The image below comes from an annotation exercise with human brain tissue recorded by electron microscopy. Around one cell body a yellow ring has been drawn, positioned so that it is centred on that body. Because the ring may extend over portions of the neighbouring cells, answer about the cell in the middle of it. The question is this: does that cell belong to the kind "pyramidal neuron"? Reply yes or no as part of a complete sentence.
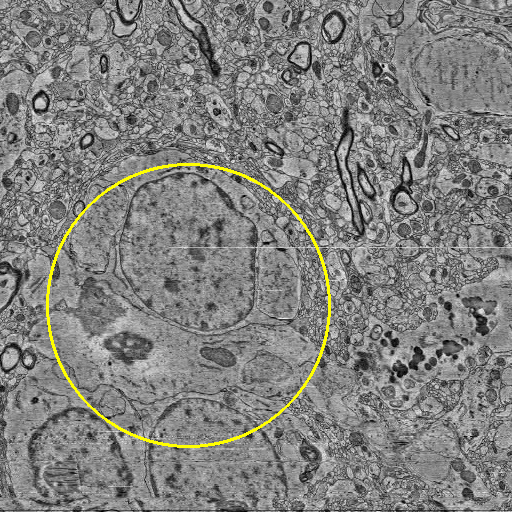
No, in the image the cell in the middle of the ring is of another kind.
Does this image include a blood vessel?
Yes, the image shows a blood vessel.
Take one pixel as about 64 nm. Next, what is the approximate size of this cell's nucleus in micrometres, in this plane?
In this plane, roughly 11 by 9 micrometres.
